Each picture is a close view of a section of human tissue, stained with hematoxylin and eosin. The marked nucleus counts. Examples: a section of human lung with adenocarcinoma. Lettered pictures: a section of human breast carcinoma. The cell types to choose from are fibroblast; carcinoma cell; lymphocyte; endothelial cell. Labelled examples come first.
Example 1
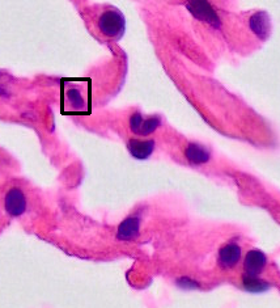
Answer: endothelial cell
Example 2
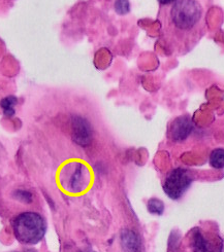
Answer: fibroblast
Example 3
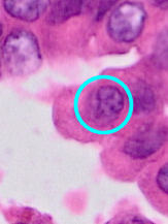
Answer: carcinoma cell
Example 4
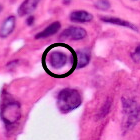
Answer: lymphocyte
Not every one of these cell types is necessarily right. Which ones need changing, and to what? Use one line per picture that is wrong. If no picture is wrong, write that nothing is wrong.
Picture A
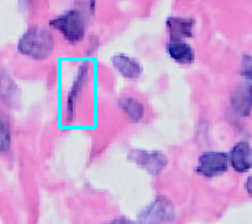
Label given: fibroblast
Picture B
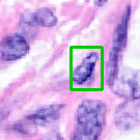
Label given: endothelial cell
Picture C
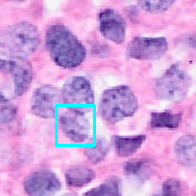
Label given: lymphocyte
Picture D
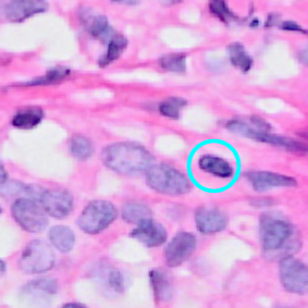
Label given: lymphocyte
C should be carcinoma cell, not lymphocyte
